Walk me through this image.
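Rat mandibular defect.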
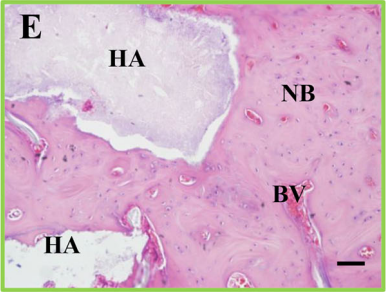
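The bone matrix stains pink and is dense, with many small dark nuclei of osteocytes lying singly in small lacunae scattered through it. Small channels within the bone carry blood vessels, some containing red blood cells.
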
